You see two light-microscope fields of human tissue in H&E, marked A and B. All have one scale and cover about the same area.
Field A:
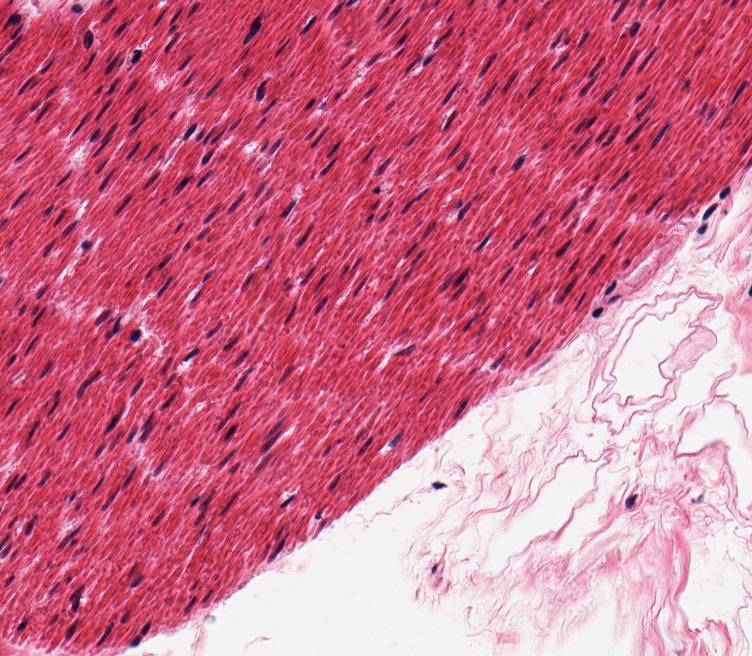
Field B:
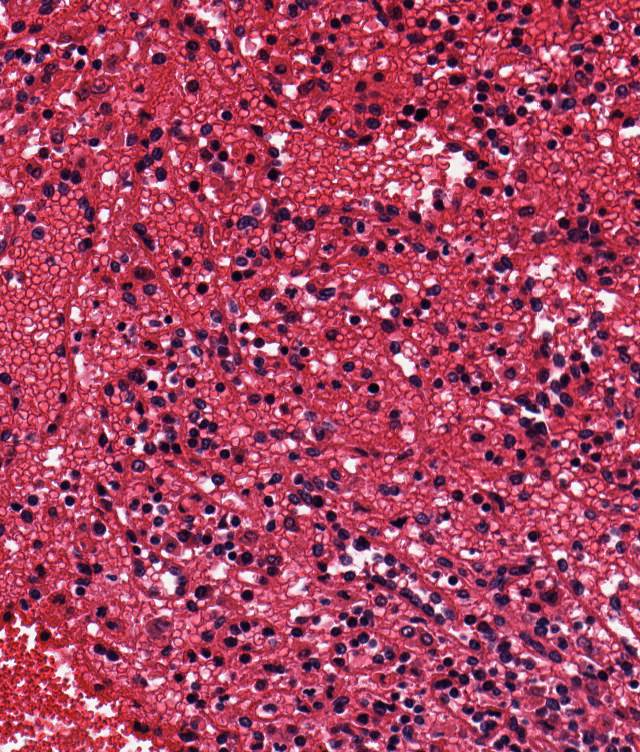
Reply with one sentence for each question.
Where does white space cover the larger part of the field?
Field A has more white space.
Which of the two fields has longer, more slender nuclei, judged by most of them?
On the whole the nuclei of field A are more drawn out than those of field B.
